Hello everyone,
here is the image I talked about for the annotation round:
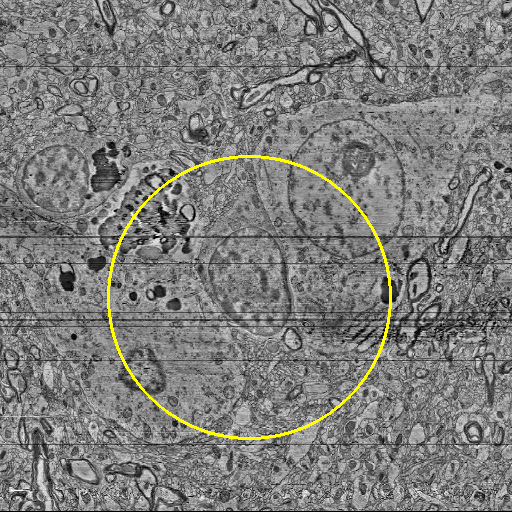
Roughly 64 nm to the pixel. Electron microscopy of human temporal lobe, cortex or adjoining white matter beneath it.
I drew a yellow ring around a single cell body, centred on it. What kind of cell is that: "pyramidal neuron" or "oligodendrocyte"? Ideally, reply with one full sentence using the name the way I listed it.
The cell your yellow ring is centred on is an oligodendrocyte, going by your list.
